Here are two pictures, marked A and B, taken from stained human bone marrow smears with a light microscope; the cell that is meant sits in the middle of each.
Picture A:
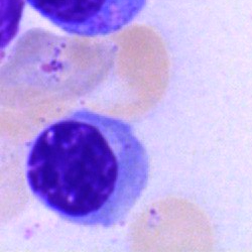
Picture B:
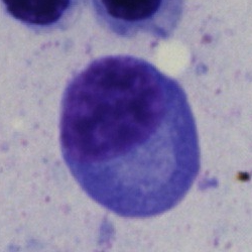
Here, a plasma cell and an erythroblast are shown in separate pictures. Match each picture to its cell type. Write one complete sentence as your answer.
Picture A shows an erythroblast and picture B shows a plasma cell.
